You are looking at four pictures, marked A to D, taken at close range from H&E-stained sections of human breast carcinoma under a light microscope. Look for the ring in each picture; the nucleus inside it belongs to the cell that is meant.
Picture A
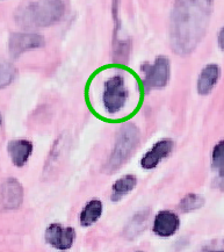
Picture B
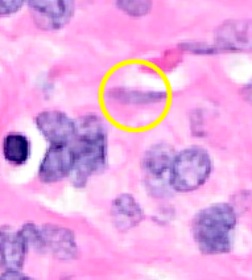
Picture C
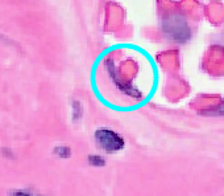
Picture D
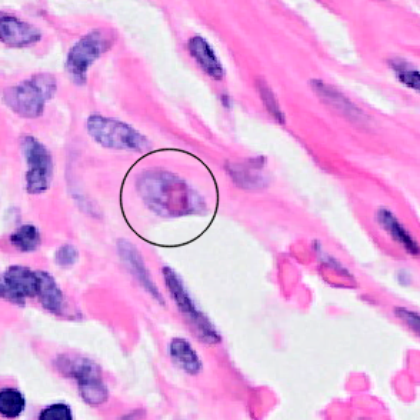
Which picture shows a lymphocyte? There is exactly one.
A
